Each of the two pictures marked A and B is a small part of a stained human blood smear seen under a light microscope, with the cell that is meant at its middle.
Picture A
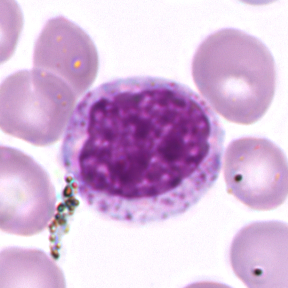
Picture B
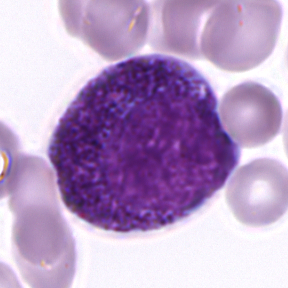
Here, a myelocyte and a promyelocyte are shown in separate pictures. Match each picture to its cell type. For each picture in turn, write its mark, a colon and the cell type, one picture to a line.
A: myelocyte
B: promyelocyte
